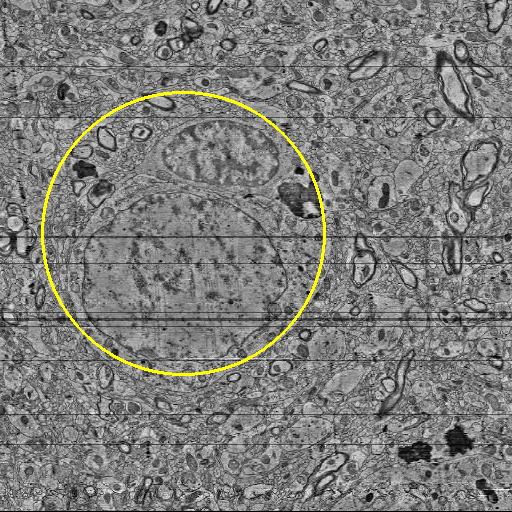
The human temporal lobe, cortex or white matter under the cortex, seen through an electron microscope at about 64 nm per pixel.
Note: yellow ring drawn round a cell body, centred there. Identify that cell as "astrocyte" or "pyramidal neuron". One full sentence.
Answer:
The cell in the middle of the ring is a pyramidal neuron.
